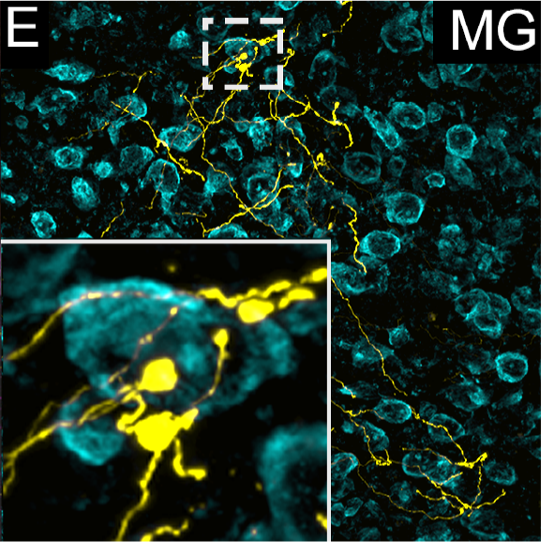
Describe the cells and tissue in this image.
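The cyan somata are round to oval with darker centres where the nucleus lies. Yellow axons branch and run in several directions, beaded with small swellings along their course. In the enlarged inset, yellow fibers end in large round boutons pressed against the surface of a cyan cell body. Other swellings lie in the space between cell bodies.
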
